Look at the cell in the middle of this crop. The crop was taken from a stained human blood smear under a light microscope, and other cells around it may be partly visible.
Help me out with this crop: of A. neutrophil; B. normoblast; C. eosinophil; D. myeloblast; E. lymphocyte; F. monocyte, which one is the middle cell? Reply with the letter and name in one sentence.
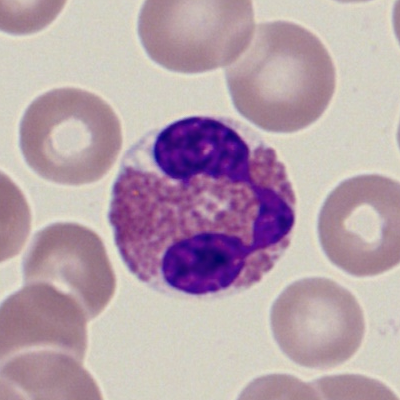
In this crop the central cell is an eosinophil, which option C correctly states.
